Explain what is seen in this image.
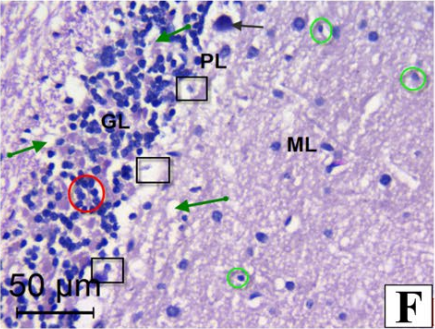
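This cerebellar cortex shows a granular layer on the left and a wide, pale molecular layer on the right, with the Purkinje layer between them poorly defined. Large Purkinje cell bodies are scarcely seen; in their place lie small empty or pale patches. The granular layer has small, deeply stained blue nuclei crowded into clumps, with gaps between the clumps. The molecular layer is pale and loosely textured, with small scattered interneuron nuclei, some surrounded by a clear halo.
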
